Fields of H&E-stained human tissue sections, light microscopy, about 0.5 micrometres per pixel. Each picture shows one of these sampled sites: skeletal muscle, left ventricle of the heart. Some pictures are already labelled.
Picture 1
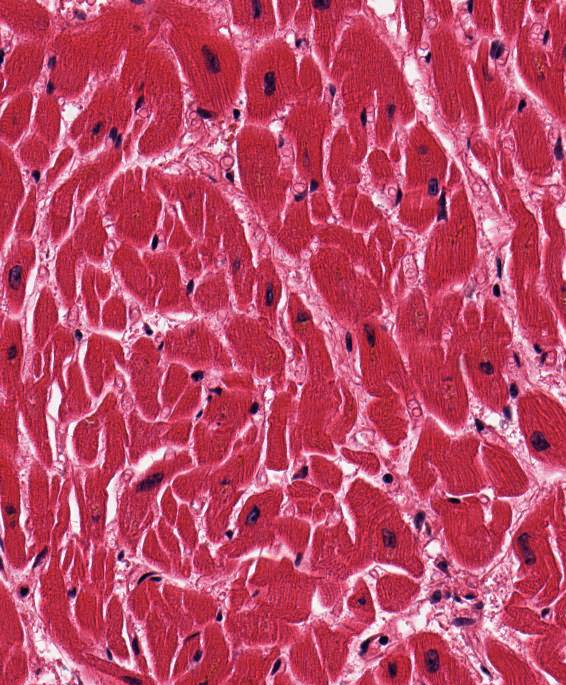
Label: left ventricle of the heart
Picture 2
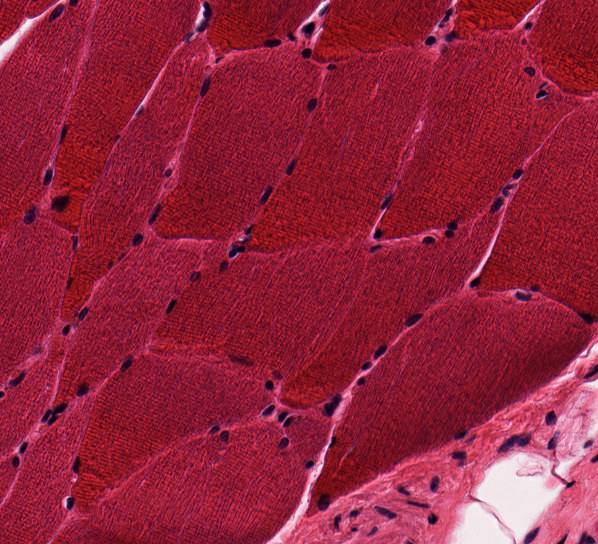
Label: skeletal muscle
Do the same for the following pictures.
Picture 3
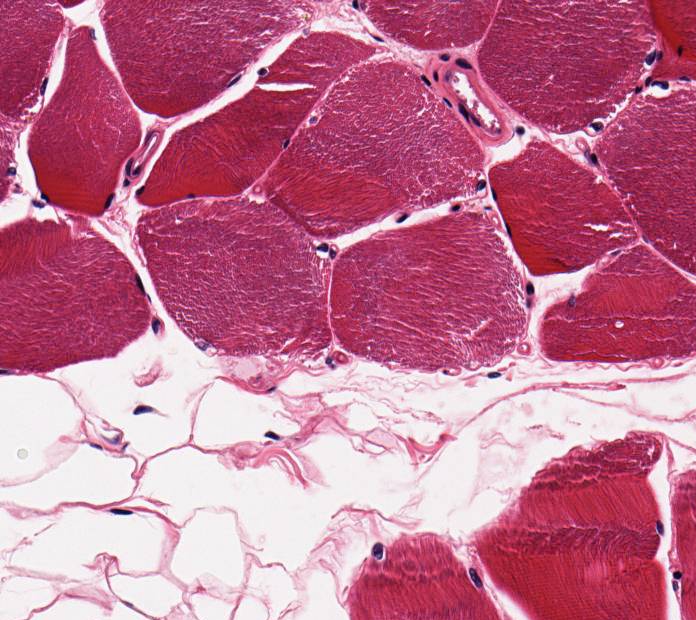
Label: skeletal muscle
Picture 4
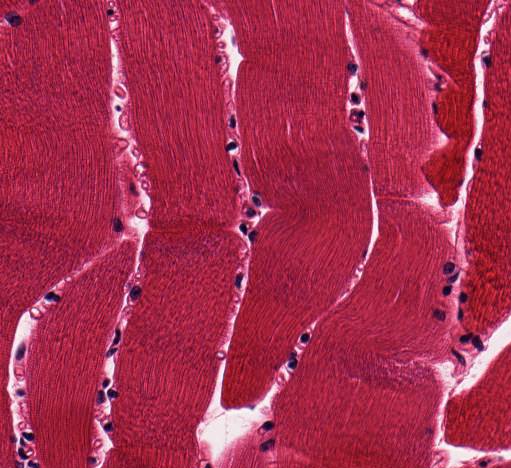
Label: skeletal muscle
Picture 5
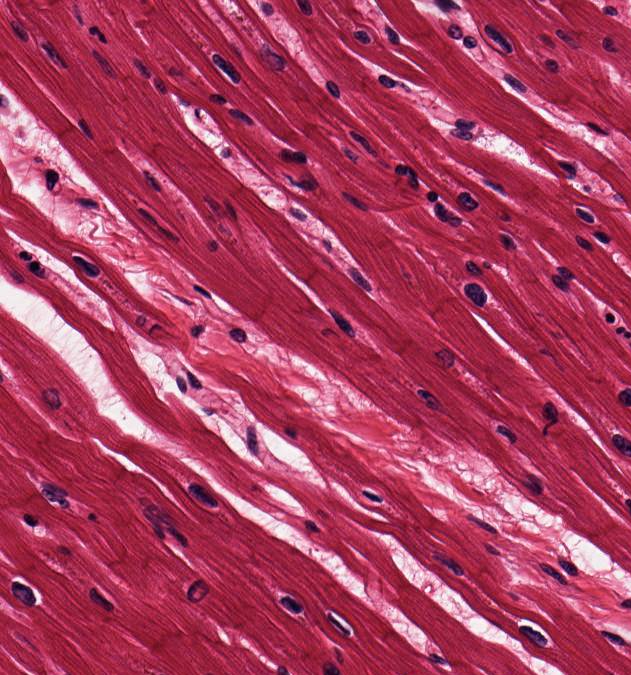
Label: left ventricle of the heart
